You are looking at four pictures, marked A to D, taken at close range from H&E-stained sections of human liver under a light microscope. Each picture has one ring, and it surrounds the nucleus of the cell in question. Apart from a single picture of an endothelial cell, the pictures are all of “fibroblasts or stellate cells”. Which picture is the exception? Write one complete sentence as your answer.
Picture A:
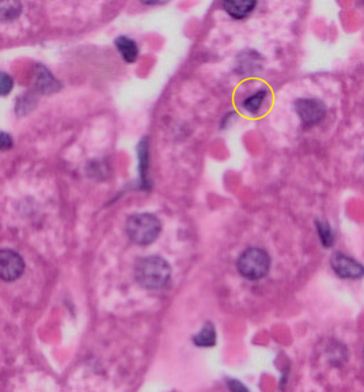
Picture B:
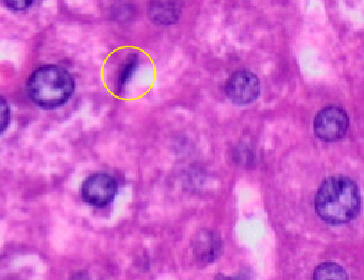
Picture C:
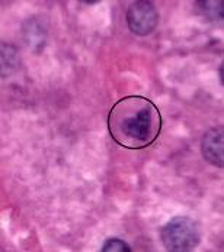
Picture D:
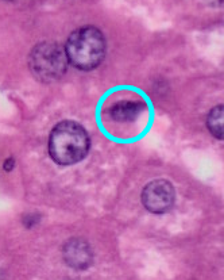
The endothelial cell is the one in picture B.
